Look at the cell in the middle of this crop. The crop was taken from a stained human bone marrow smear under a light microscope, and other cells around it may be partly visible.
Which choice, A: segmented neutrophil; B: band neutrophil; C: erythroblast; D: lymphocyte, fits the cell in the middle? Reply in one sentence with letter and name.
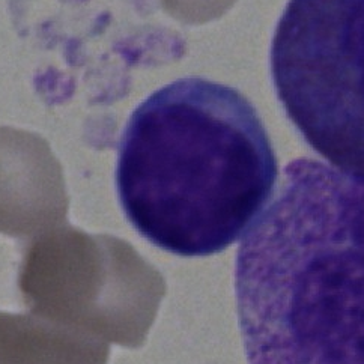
For this crop, option D is right, the centered cell being a lymphocyte.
